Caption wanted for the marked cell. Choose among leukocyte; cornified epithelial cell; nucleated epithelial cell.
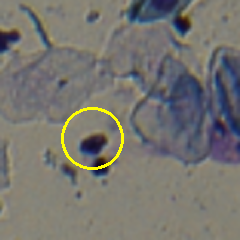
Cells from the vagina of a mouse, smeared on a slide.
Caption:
Ringed in yellow is a leukocyte.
